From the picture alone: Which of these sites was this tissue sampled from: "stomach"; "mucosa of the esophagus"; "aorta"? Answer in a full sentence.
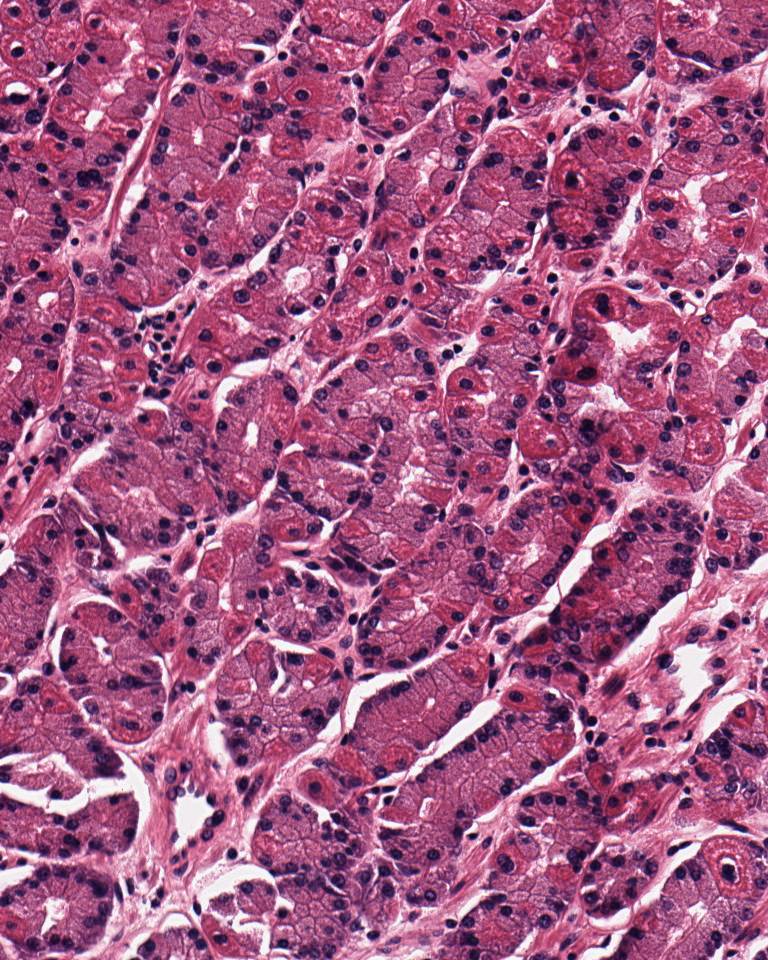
The site this tissue was sampled from is the stomach.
